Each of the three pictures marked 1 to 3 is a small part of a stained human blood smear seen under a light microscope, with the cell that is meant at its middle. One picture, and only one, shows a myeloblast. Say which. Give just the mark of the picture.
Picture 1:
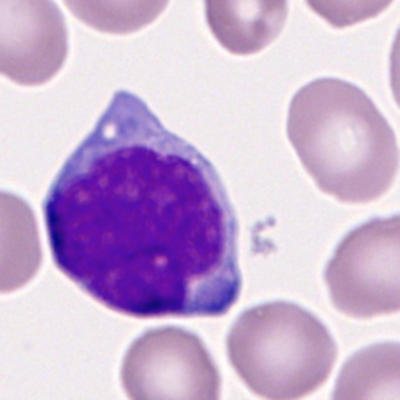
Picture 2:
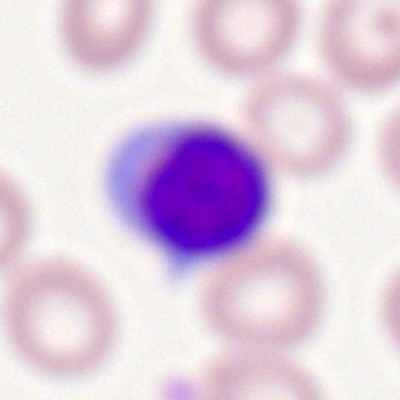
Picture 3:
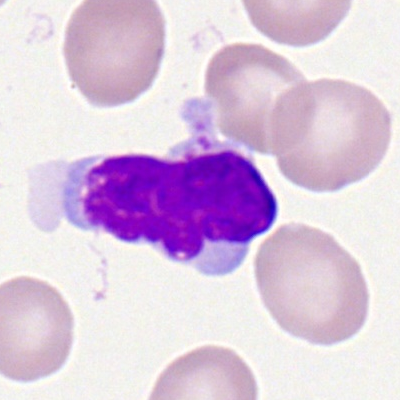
1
